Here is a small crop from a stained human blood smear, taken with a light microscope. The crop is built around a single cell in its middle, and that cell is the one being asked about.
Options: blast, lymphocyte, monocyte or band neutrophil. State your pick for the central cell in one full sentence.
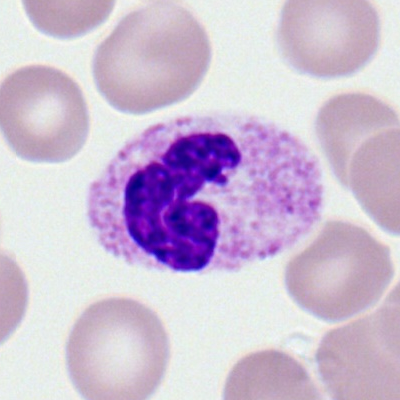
The middle of this crop holds a band neutrophil.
